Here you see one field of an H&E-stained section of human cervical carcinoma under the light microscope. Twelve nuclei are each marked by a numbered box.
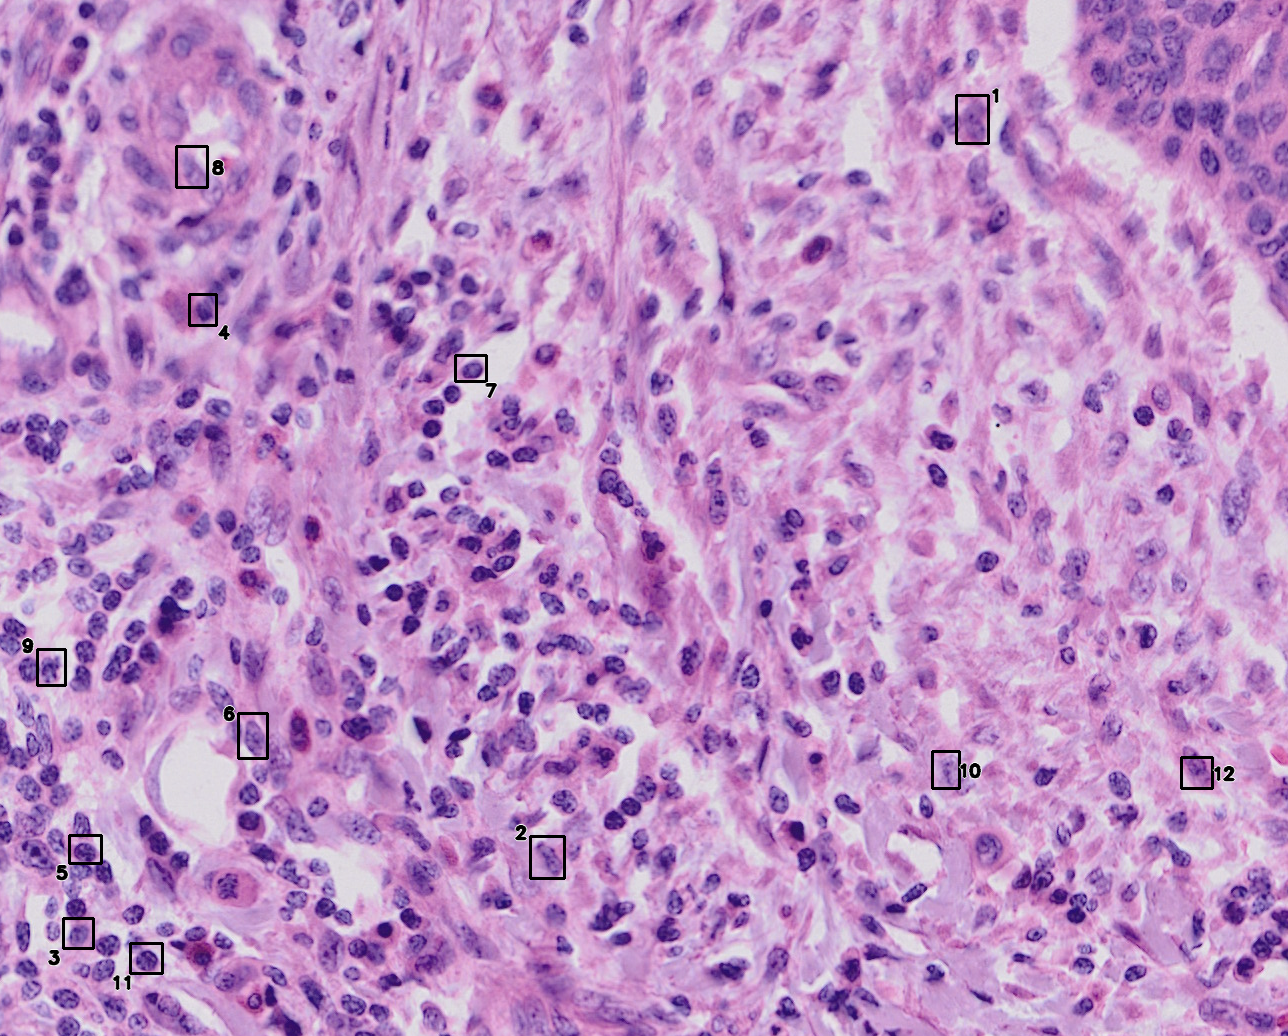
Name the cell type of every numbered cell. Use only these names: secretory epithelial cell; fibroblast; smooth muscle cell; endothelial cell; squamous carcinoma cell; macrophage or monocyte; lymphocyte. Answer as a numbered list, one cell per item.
1. macrophage or monocyte
2. macrophage or monocyte
3. lymphocyte
4. lymphocyte
5. lymphocyte
6. macrophage or monocyte
7. lymphocyte
8. endothelial cell
9. lymphocyte
10. fibroblast
11. lymphocyte
12. macrophage or monocyte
